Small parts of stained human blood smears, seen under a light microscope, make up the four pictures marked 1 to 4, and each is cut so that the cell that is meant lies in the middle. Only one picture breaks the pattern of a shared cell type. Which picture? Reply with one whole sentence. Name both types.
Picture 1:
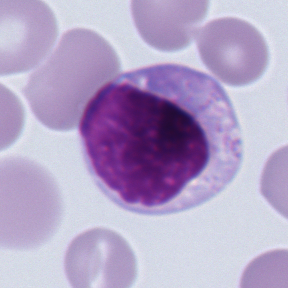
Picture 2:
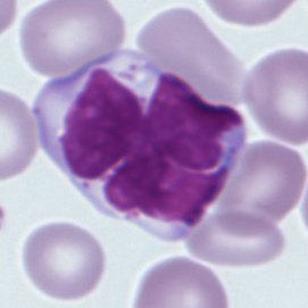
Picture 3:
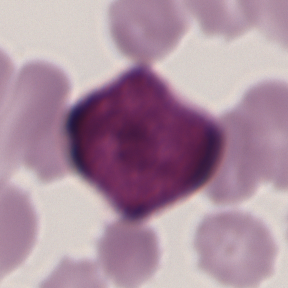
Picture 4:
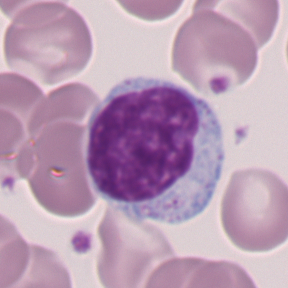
Picture 3 is the odd one out: it shows a myeloblast, while the others show large granular lymphocytes.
